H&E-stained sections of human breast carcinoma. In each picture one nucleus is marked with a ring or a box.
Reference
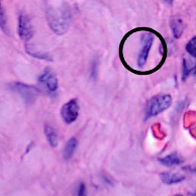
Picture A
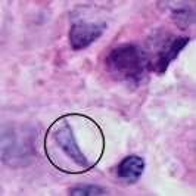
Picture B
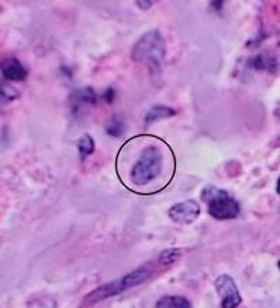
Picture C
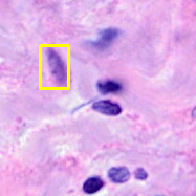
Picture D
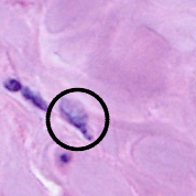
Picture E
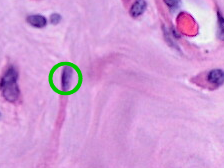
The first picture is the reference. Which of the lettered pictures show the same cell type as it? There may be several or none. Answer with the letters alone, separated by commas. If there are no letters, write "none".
A, C, D, E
